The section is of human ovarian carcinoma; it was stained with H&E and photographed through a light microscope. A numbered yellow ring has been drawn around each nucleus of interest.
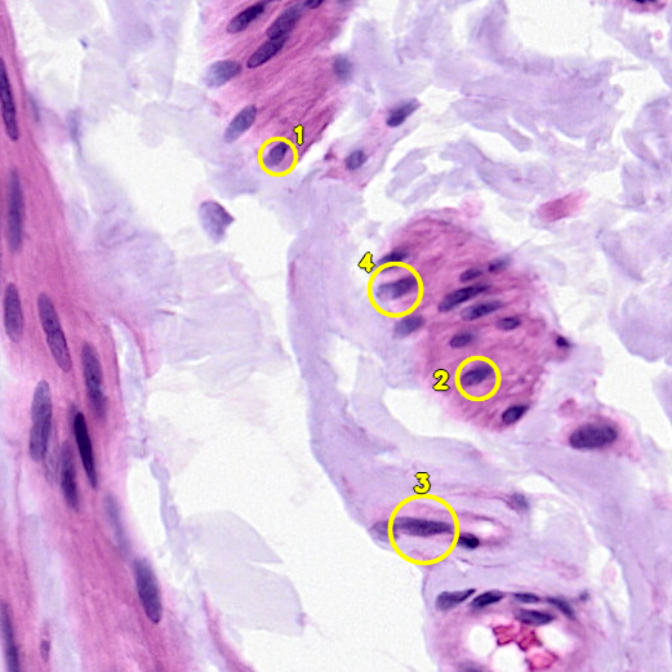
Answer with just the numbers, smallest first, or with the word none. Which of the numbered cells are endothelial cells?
3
